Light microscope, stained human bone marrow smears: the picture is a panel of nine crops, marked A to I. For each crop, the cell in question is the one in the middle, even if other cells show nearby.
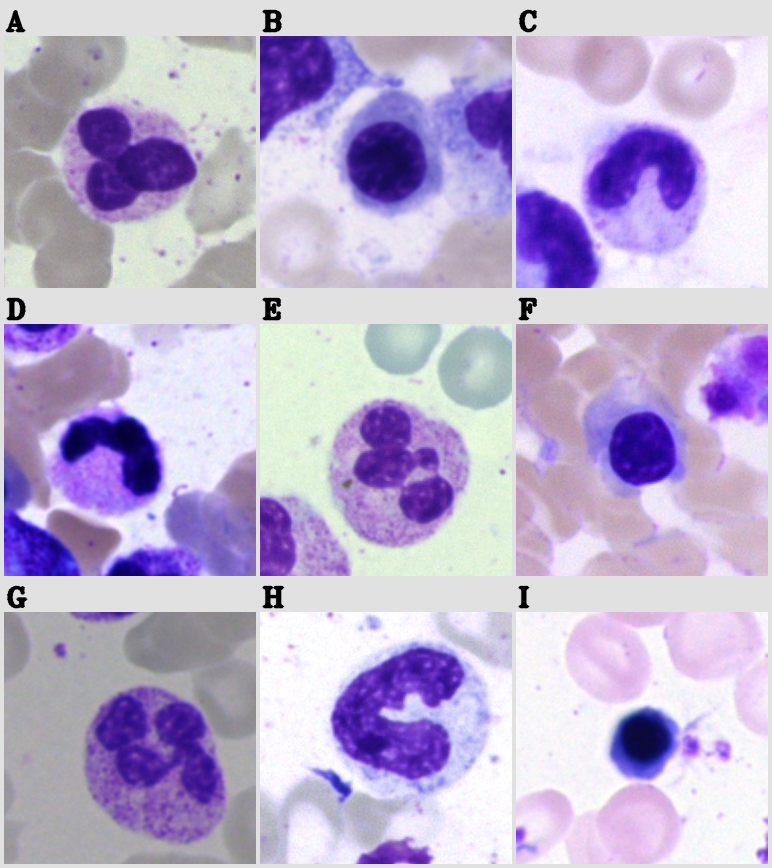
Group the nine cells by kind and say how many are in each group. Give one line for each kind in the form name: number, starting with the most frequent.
segmented neutrophil: 5
erythroblast: 3
band neutrophil: 1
